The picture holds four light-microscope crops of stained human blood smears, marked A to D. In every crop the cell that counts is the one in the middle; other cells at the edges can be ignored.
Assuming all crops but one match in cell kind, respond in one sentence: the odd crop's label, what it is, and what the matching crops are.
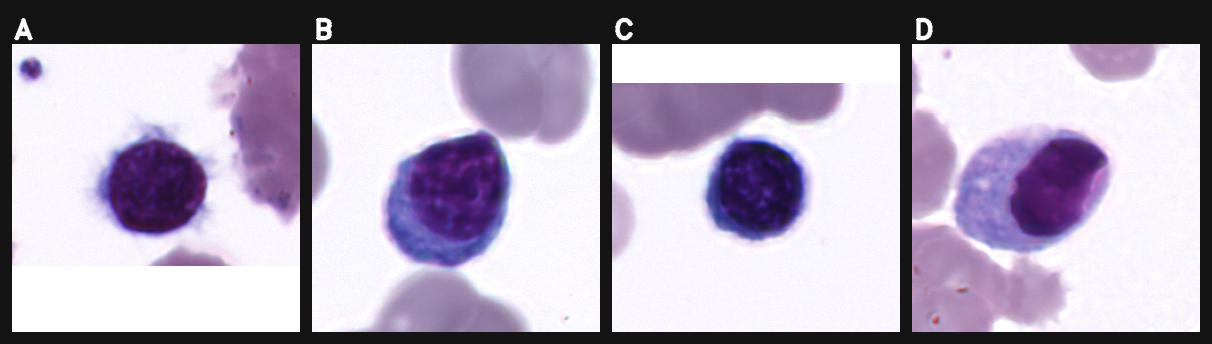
Crop A, showing a hairy cell, is the exception; the others all show plasma cells.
